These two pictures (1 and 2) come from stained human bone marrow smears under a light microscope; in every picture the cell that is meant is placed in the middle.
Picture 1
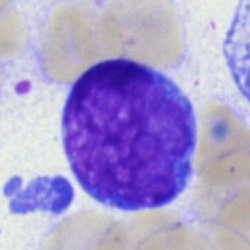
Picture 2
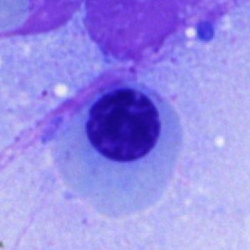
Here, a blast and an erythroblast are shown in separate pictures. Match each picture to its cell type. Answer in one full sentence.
Picture 1 shows a blast and picture 2 shows an erythroblast.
